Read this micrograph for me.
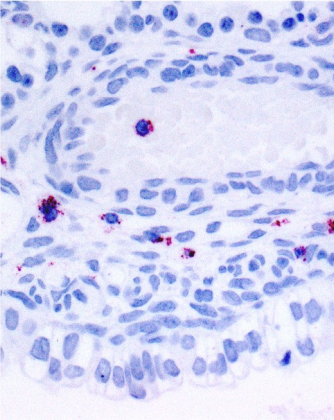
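The lumen in the upper half is surrounded by a thick wall of several layers of elongated cells with spindle-shaped blue nuclei. Along the lower edge a row of taller columnar cells lines another space. The rest of the tissue is crowded with small cells with round to oval blue nuclei and little visible cytoplasm.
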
